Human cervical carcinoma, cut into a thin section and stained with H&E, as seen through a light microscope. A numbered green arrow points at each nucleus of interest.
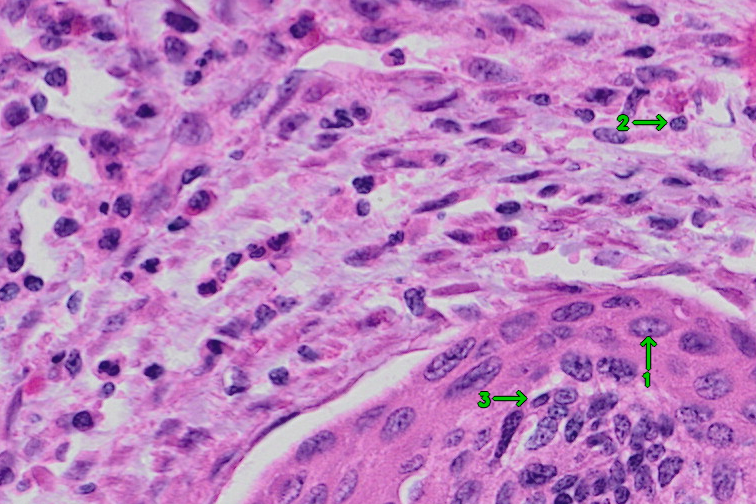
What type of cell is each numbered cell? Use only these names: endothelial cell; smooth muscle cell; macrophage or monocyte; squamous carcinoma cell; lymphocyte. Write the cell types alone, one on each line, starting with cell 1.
squamous carcinoma cell
lymphocyte
squamous carcinoma cell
